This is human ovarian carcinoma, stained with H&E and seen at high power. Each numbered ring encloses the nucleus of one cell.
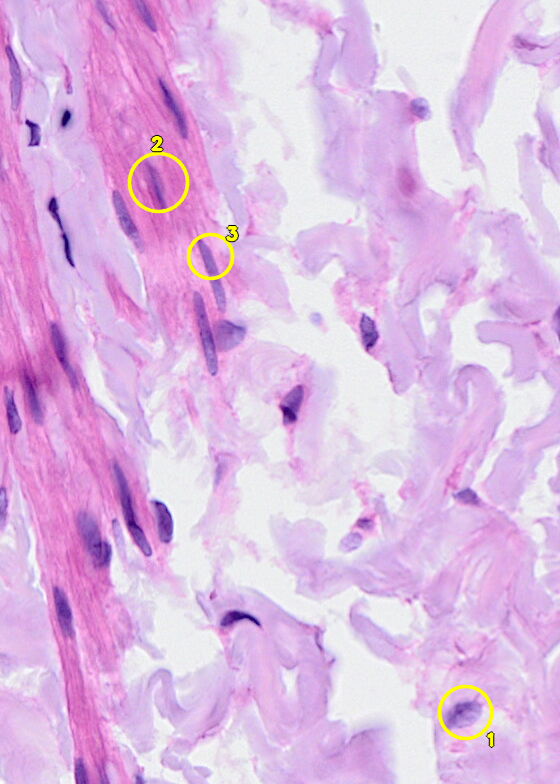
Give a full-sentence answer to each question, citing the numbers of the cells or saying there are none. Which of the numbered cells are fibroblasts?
Among the cells marked with numbers, the only one that is a fibroblast is number 1.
